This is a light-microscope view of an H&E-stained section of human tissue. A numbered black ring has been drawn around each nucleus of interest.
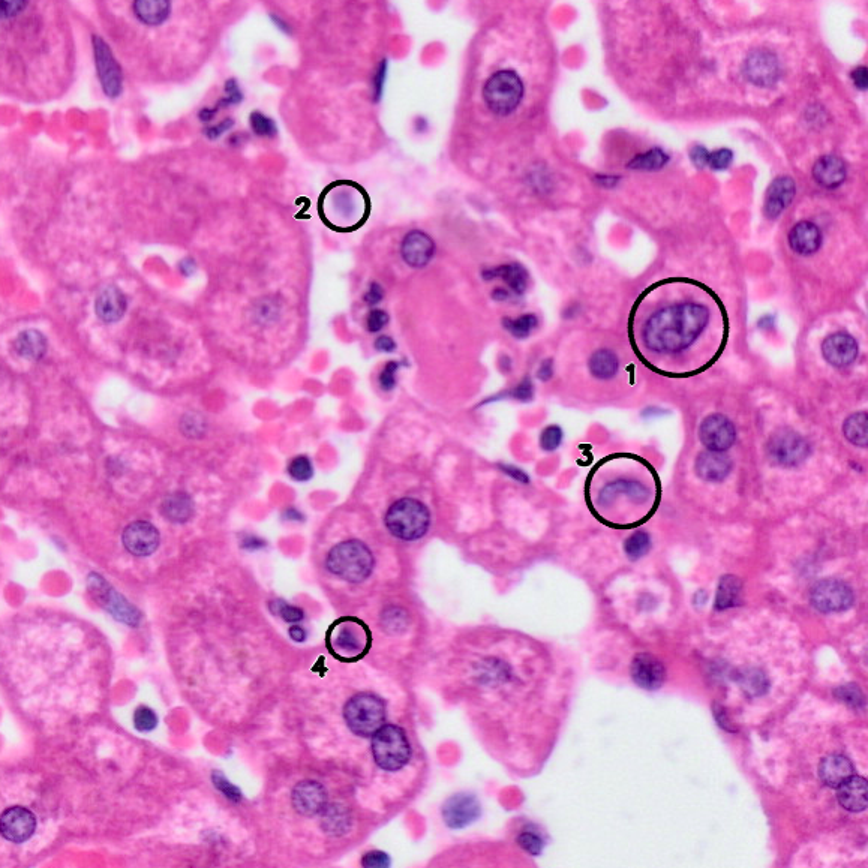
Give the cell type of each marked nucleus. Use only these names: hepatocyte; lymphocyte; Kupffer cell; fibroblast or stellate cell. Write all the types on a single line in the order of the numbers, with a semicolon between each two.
hepatocyte; Kupffer cell; Kupffer cell; fibroblast or stellate cell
